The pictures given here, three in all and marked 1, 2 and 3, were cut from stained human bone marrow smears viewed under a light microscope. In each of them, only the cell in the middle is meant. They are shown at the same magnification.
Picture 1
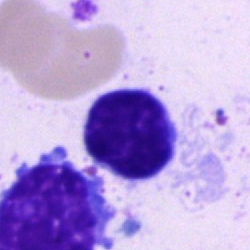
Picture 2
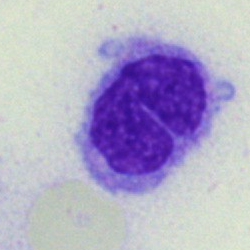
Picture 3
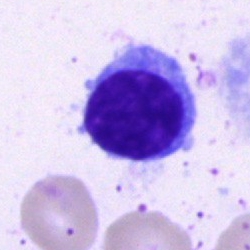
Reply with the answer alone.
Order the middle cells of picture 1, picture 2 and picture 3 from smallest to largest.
1, 3, 2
